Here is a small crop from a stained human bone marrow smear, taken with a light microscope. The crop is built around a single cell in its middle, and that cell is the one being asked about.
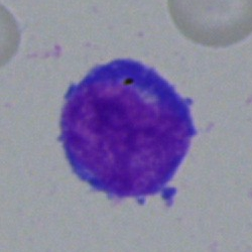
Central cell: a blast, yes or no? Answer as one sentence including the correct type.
Yes, the cell shown centrally is a blast.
